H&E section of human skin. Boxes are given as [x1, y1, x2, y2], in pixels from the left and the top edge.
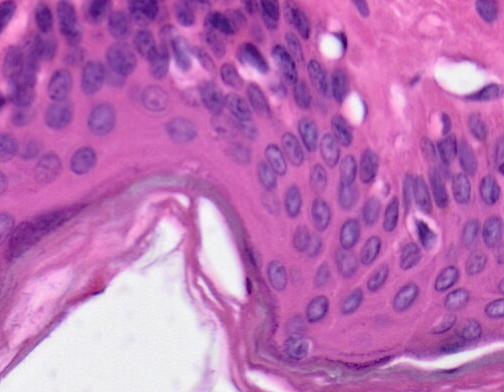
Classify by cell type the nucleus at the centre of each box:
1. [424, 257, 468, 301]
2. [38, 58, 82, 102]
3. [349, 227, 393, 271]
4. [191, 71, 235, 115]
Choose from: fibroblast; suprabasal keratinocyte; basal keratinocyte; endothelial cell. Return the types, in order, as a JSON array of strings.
["suprabasal keratinocyte", "suprabasal keratinocyte", "suprabasal keratinocyte", "basal keratinocyte"]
